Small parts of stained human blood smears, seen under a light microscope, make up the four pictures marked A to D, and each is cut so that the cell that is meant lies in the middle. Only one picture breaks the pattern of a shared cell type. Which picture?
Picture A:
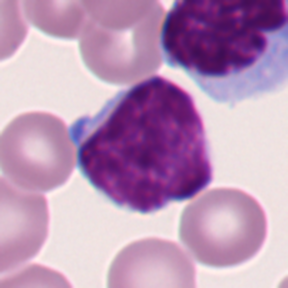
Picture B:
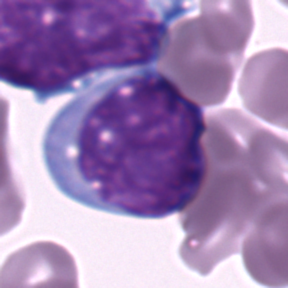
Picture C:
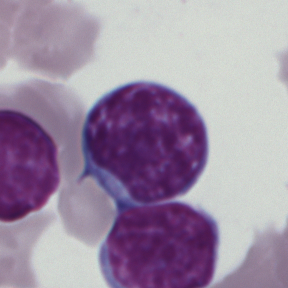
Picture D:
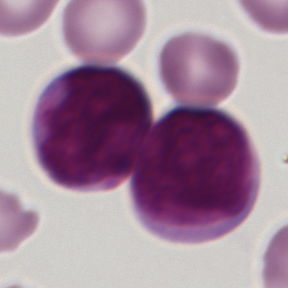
A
